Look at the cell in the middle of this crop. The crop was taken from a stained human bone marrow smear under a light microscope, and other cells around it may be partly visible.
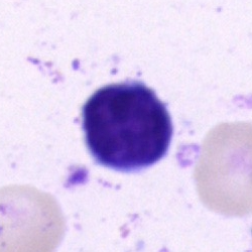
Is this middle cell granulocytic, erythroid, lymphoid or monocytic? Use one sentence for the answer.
As for the middle cell, it is a member of the lymphoid lineage.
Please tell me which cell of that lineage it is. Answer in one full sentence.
To answer, the cell in the center of the crop is a lymphocyte.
